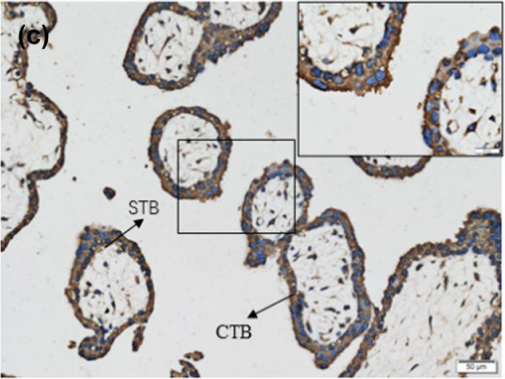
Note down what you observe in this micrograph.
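Several villus profiles are cut in cross-section and lie separated by empty space. Each consists of a loose, pale core containing scattered spindle-shaped cells with small blue nuclei. The core is wrapped by a thin continuous epithelial covering in which a row of blue nuclei lies beneath an outer rim. This covering is stained strongly brown, whereas the core is only faintly tinted.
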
